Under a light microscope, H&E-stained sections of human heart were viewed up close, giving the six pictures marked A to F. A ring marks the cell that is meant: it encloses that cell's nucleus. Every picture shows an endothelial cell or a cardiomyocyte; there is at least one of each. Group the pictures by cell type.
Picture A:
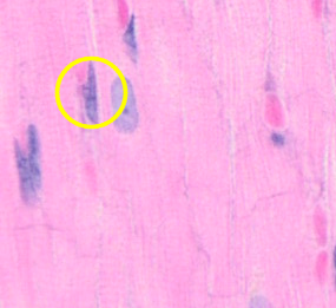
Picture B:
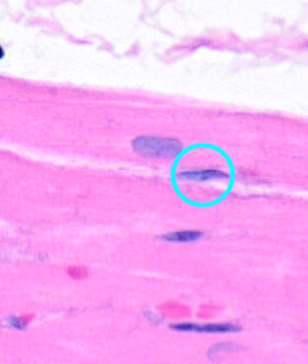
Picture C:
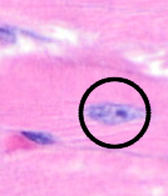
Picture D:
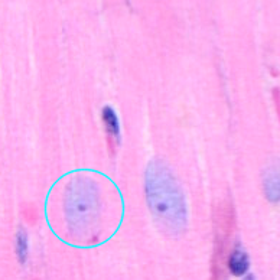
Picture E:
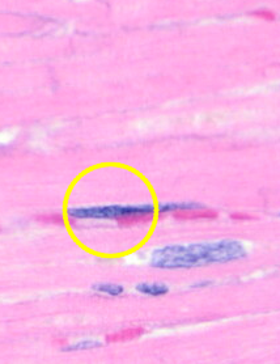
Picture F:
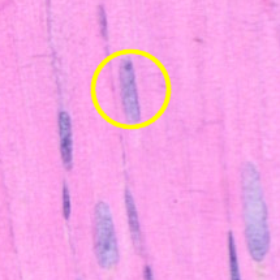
A: endothelial cell
B: endothelial cell
C: cardiomyocyte
D: cardiomyocyte
E: endothelial cell
F: cardiomyocyte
